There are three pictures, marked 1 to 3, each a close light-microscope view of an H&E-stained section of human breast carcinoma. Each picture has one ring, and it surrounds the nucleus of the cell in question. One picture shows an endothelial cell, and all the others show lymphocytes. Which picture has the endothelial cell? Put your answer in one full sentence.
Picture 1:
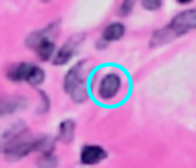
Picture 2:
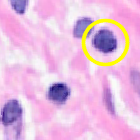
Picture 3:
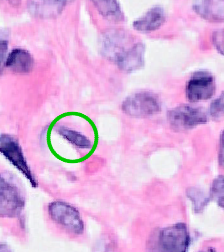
The endothelial cell is the one in picture 3.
